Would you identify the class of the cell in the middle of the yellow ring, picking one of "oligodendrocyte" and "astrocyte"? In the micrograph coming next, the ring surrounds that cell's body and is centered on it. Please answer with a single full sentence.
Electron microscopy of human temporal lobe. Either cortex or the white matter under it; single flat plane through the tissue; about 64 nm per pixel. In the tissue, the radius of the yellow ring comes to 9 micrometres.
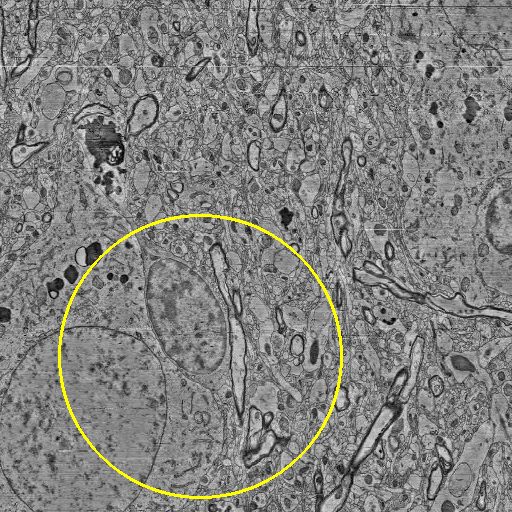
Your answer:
In the micrograph, it is an oligodendrocyte whose body lies at the ring's center.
